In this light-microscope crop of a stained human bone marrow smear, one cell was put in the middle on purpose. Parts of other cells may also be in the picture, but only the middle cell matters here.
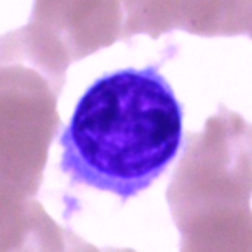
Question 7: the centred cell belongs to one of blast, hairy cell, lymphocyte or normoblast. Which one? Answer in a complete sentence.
Classified as a hairy cell is the cell in the middle of this crop.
